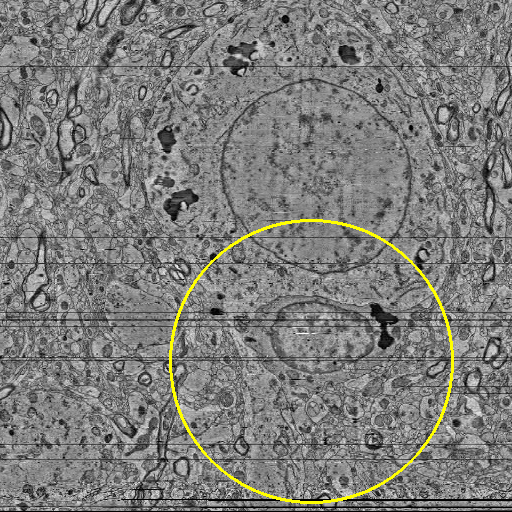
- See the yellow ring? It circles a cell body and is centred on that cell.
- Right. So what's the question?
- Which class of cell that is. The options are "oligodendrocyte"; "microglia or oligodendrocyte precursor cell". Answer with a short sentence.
The centre of the ring holds an oligodendrocyte.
